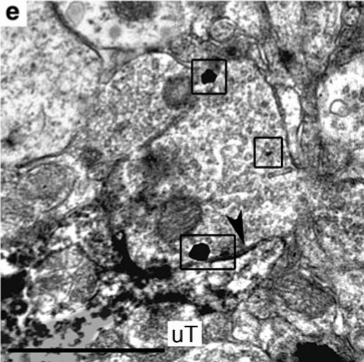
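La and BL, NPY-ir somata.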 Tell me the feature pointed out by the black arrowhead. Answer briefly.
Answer: Synaptic contact.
